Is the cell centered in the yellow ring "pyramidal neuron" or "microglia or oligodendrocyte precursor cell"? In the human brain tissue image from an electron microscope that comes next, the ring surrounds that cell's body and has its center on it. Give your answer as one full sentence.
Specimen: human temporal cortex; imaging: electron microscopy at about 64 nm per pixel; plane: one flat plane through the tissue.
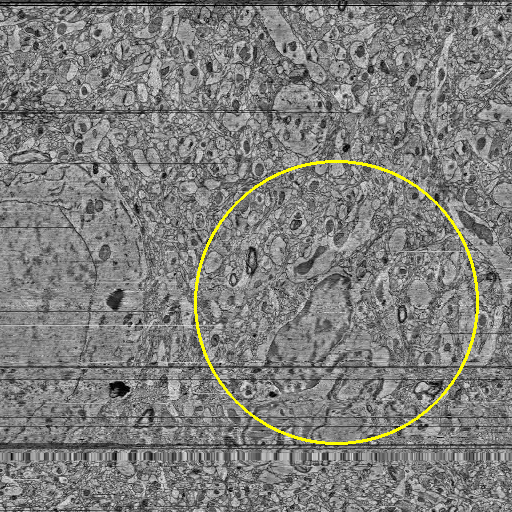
The cell at the center of the yellow ring is a microglial cell or oligodendrocyte precursor cell in the micrograph.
